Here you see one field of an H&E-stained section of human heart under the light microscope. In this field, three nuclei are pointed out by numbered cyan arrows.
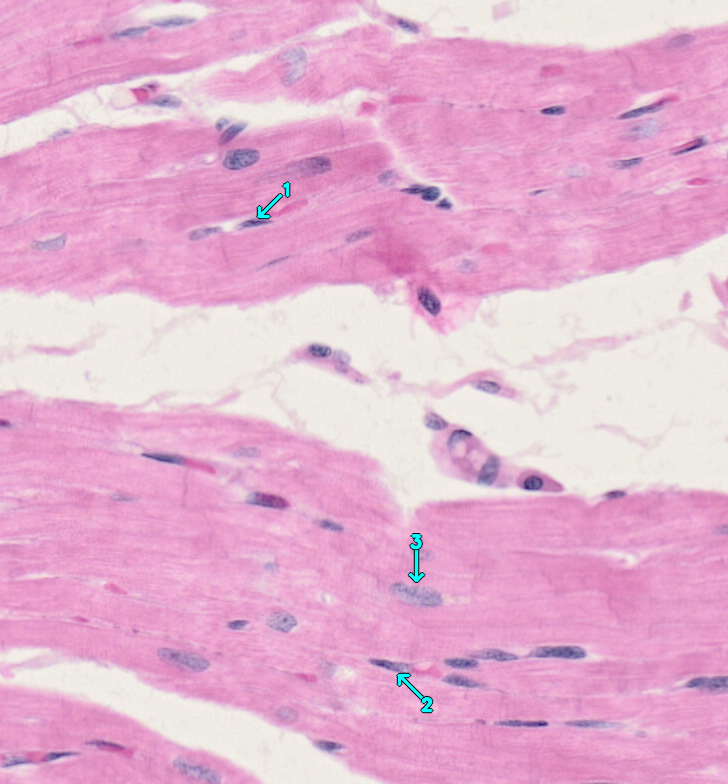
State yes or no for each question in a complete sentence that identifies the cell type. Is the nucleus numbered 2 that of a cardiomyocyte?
No, the cell given number 2 is an endothelial cell, not a cardiomyocyte.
